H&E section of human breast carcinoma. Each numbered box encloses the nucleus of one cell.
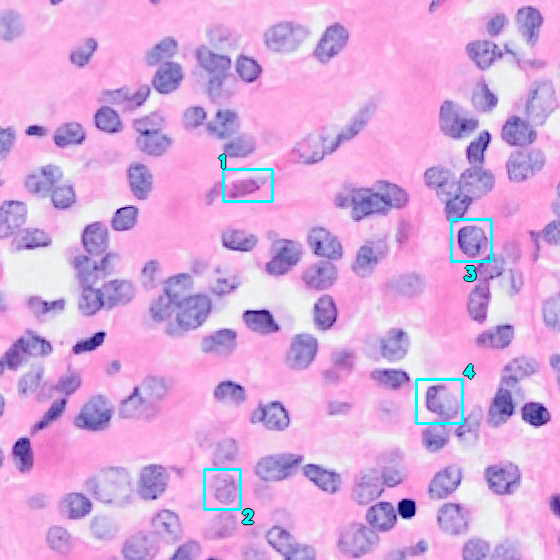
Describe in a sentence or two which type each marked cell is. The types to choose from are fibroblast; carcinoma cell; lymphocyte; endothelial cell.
Cell 1 is an endothelial cell, cell 2 is a carcinoma cell, cell 3 is a carcinoma cell and cell 4 is a carcinoma cell.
